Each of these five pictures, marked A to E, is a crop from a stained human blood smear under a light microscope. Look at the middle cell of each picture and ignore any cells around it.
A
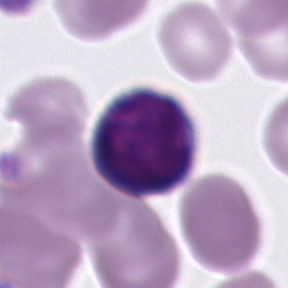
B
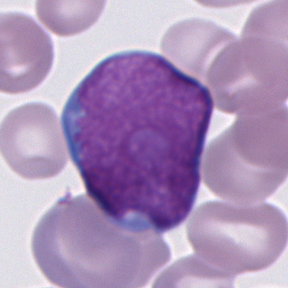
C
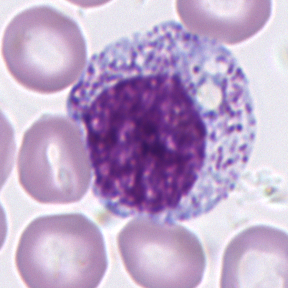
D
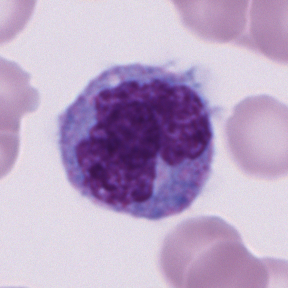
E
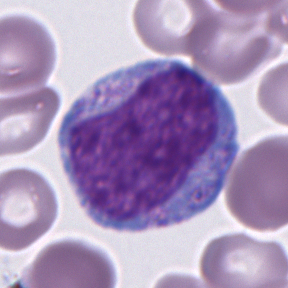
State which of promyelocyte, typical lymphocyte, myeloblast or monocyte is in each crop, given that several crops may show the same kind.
A: typical lymphocyte
B: myeloblast
C: promyelocyte
D: monocyte
E: promyelocyte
